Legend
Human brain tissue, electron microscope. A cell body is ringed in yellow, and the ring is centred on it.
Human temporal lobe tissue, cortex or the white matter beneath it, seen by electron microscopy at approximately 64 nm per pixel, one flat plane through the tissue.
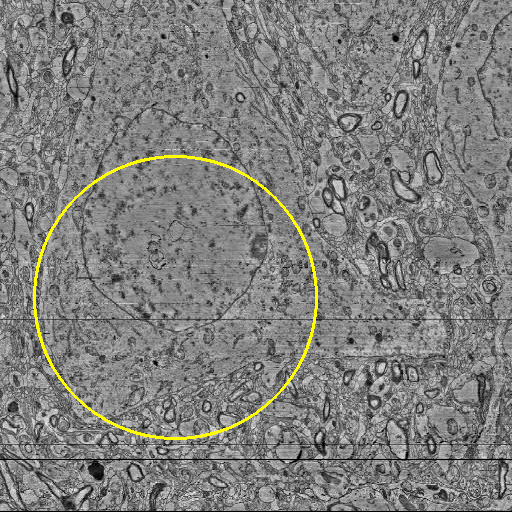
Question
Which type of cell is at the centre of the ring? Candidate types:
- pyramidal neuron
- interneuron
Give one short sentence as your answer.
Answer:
The yellow ring is centred here on a pyramidal neuron.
